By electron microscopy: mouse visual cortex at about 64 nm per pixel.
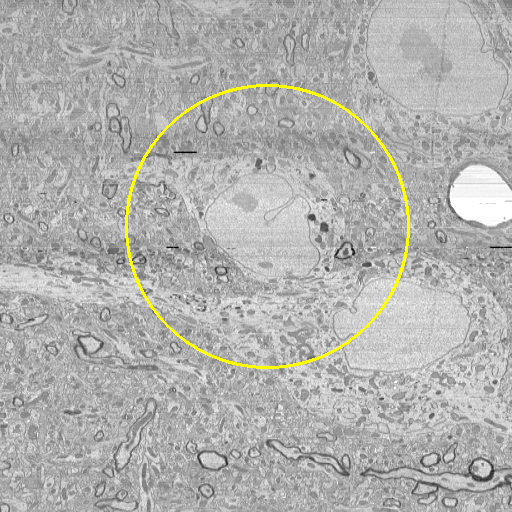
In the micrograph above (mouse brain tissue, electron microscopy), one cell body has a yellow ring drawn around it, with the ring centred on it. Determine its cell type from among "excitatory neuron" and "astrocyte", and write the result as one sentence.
The cell whose body is ringed is an excitatory neuron.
